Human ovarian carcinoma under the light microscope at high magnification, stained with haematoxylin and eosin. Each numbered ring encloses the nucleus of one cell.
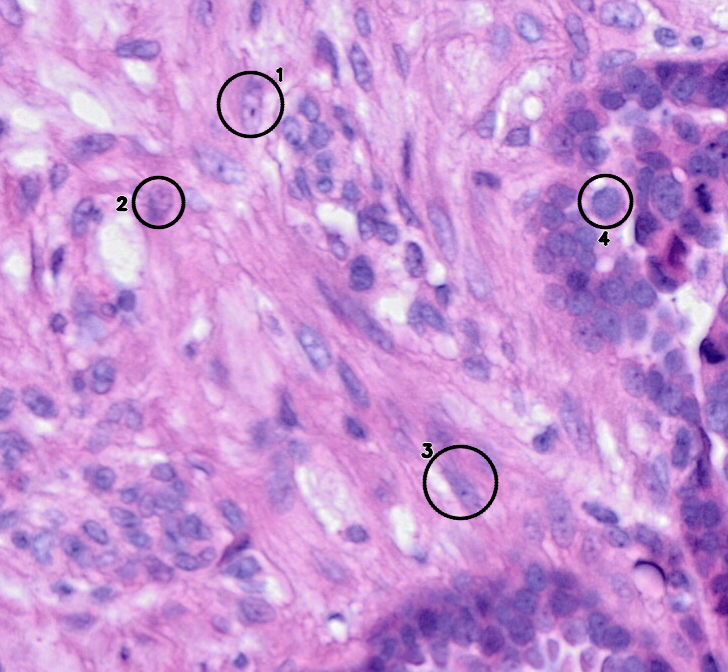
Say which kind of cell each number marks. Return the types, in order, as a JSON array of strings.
["fibroblast", "fibroblast", "fibroblast", "carcinoma cell"]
